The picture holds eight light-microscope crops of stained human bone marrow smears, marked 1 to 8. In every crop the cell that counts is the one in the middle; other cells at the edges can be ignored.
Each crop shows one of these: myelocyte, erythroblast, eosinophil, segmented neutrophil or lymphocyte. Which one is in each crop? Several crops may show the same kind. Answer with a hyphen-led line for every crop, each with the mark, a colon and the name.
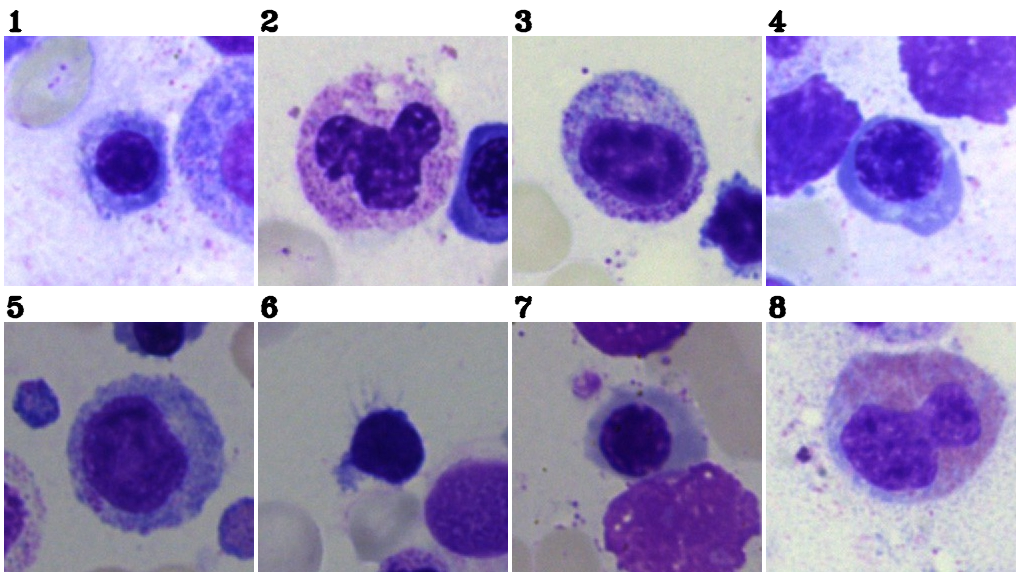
- 1: erythroblast
- 2: segmented neutrophil
- 3: myelocyte
- 4: erythroblast
- 5: myelocyte
- 6: lymphocyte
- 7: erythroblast
- 8: eosinophil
